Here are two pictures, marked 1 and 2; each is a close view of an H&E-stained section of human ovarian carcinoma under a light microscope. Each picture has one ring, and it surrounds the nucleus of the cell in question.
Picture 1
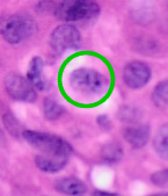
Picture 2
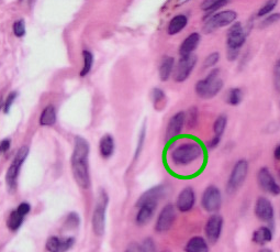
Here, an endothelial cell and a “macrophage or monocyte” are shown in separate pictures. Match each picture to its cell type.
1: macrophage or monocyte
2: endothelial cell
